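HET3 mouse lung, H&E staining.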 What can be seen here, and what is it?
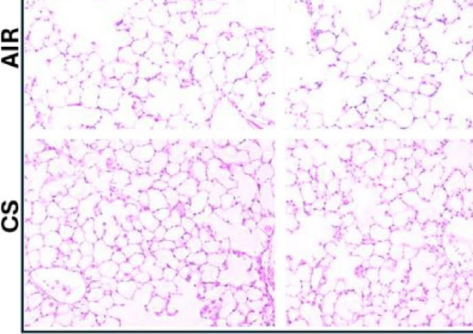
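Thin pink alveolar walls with scattered purple nuclei form a lace-like network around many open air spaces. In the lower images a few larger round tubular profiles, cut in cross section, lie among the alveoli.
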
